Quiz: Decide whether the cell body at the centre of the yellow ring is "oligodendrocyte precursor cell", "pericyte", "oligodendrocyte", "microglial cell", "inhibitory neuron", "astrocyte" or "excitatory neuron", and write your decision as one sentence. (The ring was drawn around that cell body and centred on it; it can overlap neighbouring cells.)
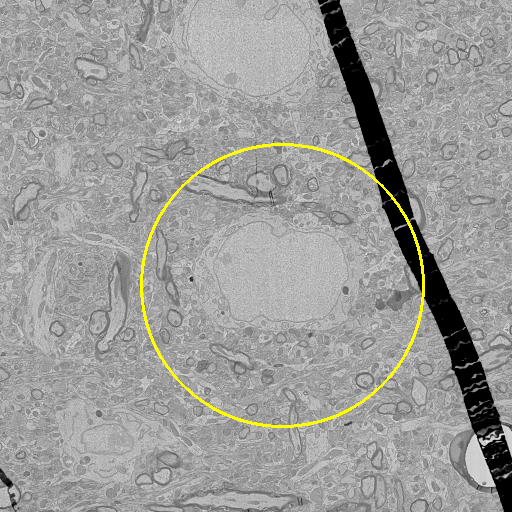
The cell the ring is centred on is an excitatory neuron.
